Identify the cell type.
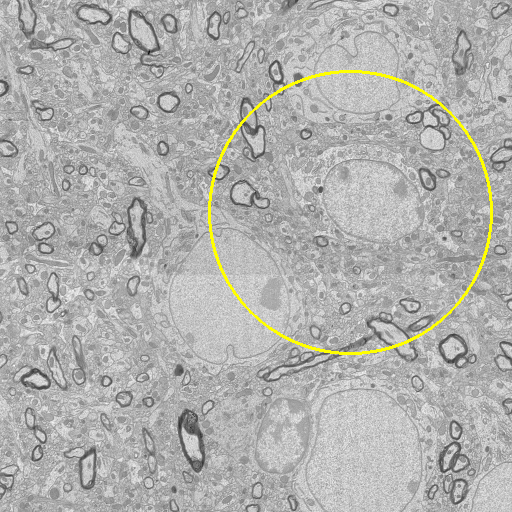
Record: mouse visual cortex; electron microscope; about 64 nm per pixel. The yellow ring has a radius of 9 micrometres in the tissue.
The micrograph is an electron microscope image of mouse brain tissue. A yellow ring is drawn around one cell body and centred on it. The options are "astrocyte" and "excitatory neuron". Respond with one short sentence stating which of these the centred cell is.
The cell body in the ring belongs to an astrocyte.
